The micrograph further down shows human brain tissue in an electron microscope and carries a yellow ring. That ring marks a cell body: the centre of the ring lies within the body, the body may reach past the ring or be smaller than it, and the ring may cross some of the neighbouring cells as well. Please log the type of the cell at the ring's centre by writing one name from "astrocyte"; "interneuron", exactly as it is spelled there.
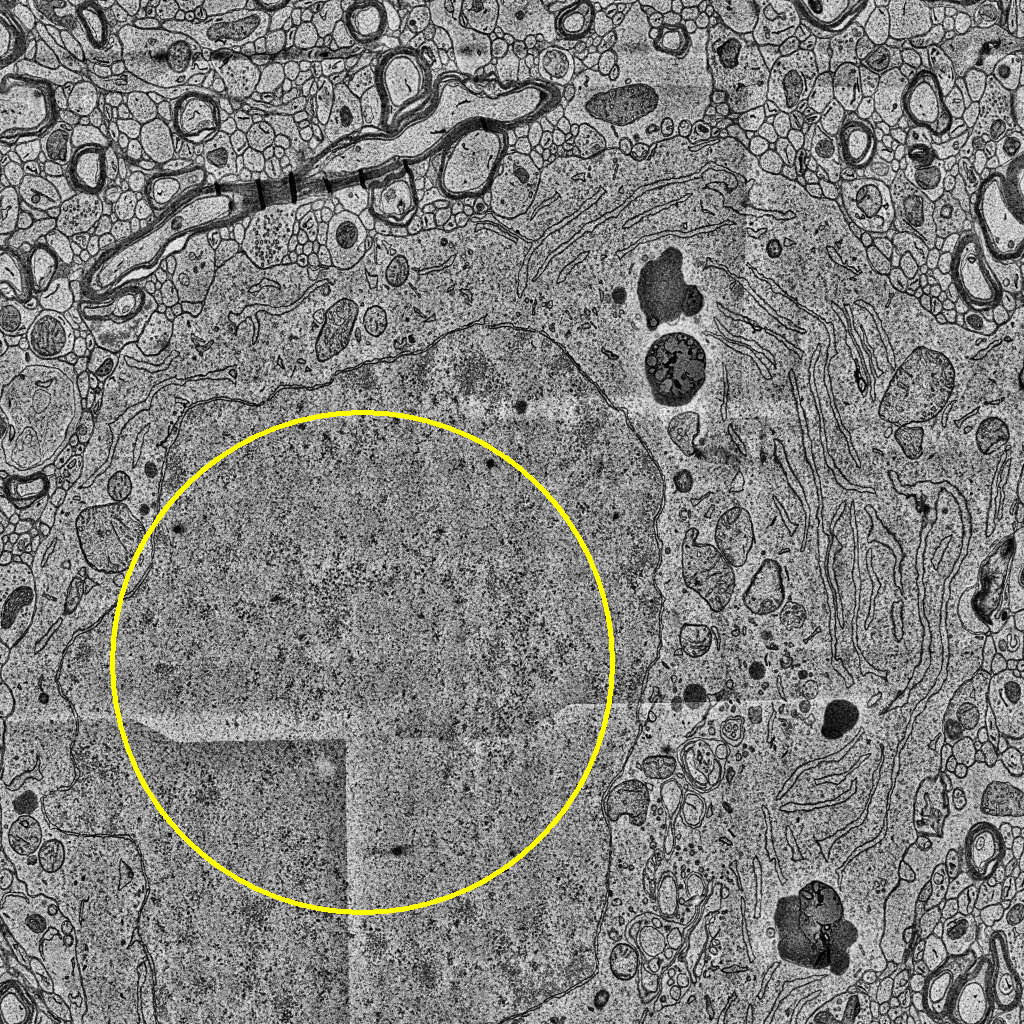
interneuron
